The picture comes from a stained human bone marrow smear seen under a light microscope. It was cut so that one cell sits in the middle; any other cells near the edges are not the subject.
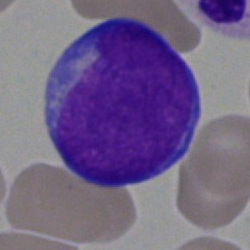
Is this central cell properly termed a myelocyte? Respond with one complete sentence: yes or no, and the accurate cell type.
No, instead of a myelocyte, the middle cell is a blast.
